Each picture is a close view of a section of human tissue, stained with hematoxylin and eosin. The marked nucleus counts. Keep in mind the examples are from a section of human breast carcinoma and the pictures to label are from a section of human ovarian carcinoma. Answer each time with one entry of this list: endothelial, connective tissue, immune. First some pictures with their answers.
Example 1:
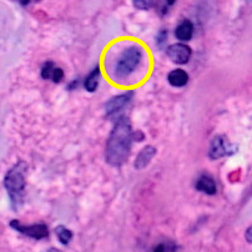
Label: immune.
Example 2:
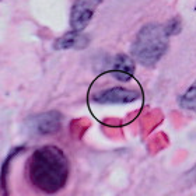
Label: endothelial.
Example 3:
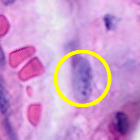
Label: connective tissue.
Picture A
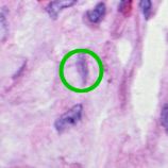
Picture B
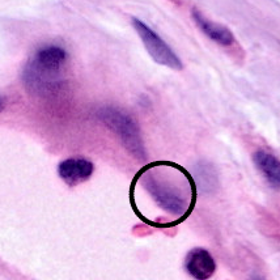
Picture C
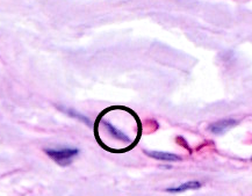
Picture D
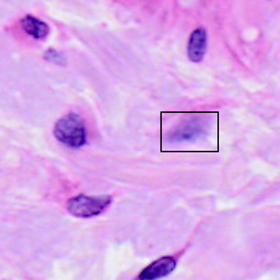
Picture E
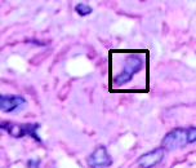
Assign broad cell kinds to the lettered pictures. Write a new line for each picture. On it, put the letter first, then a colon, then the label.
A: connective tissue.
B: endothelial.
C: endothelial.
D: connective tissue.
E: connective tissue.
